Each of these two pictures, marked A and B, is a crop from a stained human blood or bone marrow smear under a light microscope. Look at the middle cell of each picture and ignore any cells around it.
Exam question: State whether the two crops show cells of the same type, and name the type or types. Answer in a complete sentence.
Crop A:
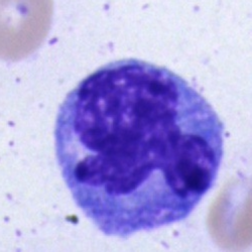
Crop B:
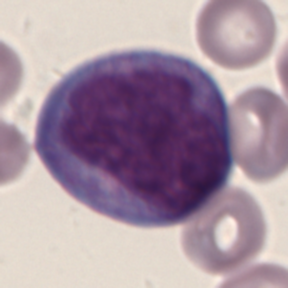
No, mark crop A as a monocyte and crop B as a promyelocyte.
